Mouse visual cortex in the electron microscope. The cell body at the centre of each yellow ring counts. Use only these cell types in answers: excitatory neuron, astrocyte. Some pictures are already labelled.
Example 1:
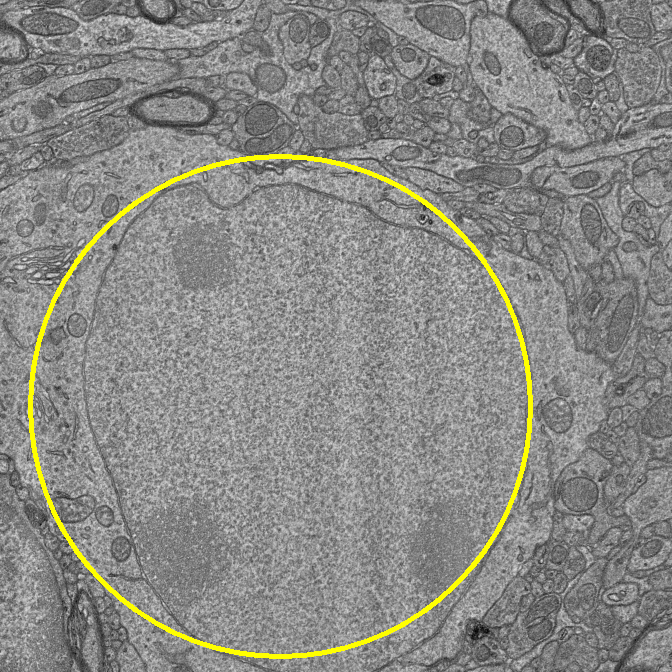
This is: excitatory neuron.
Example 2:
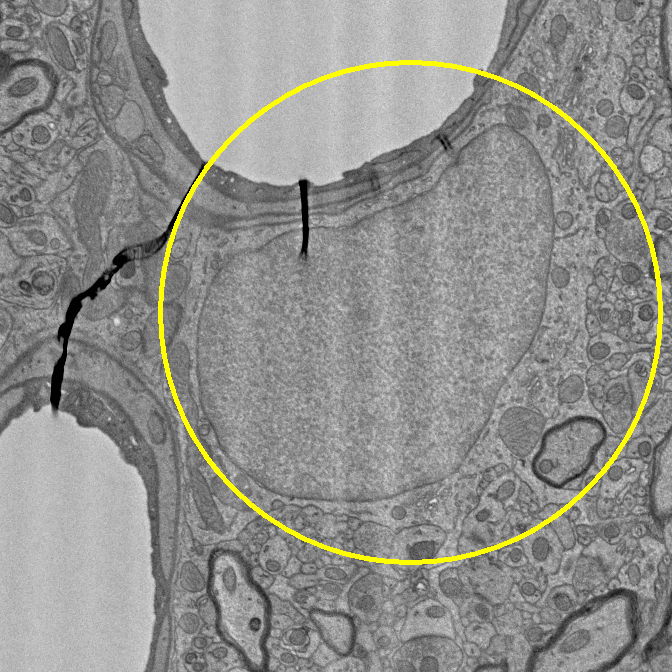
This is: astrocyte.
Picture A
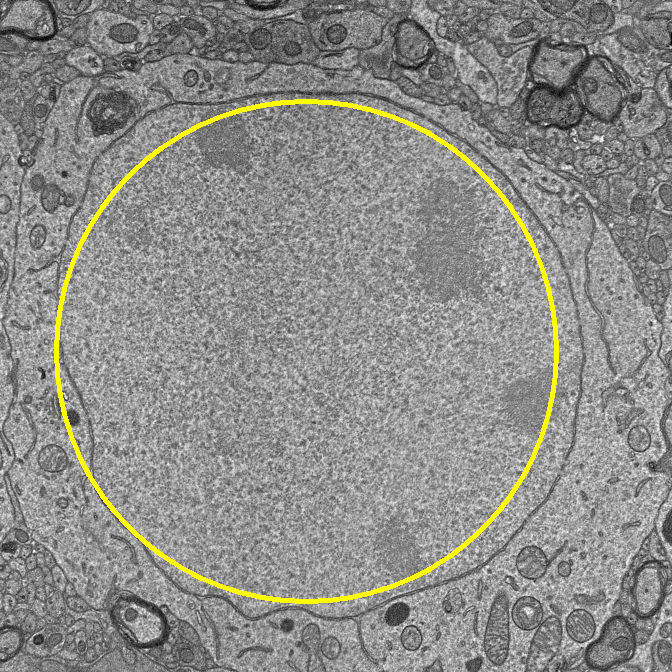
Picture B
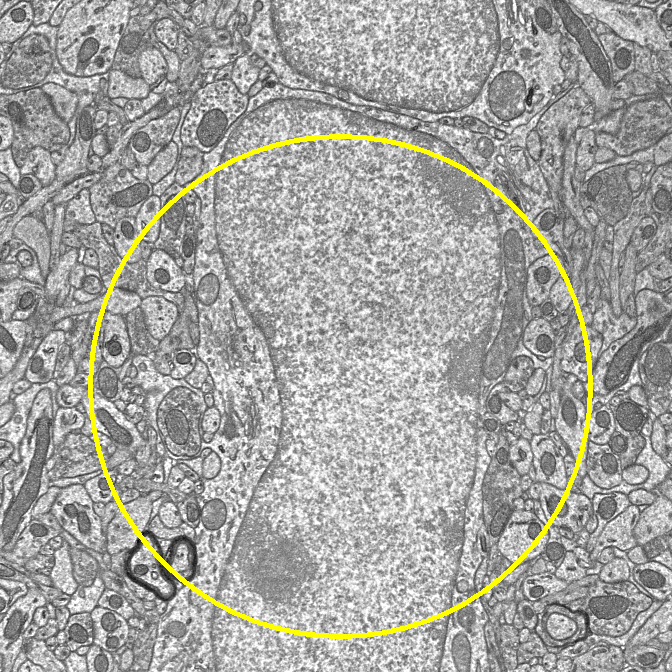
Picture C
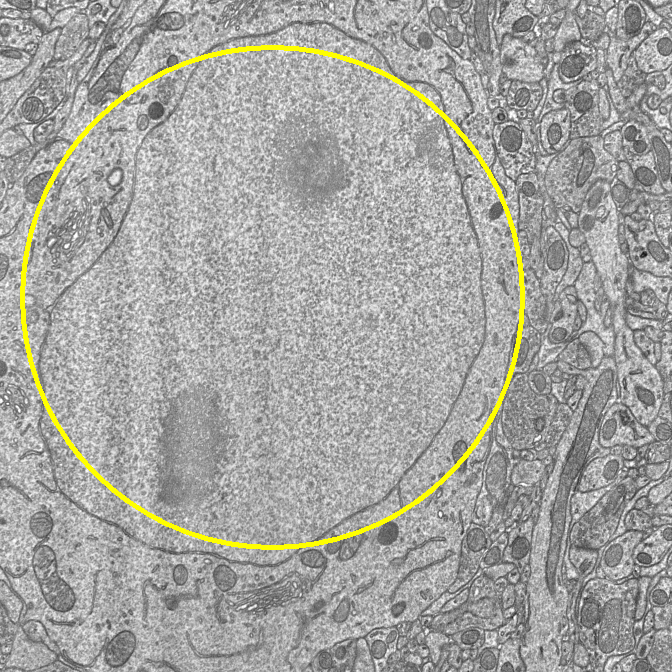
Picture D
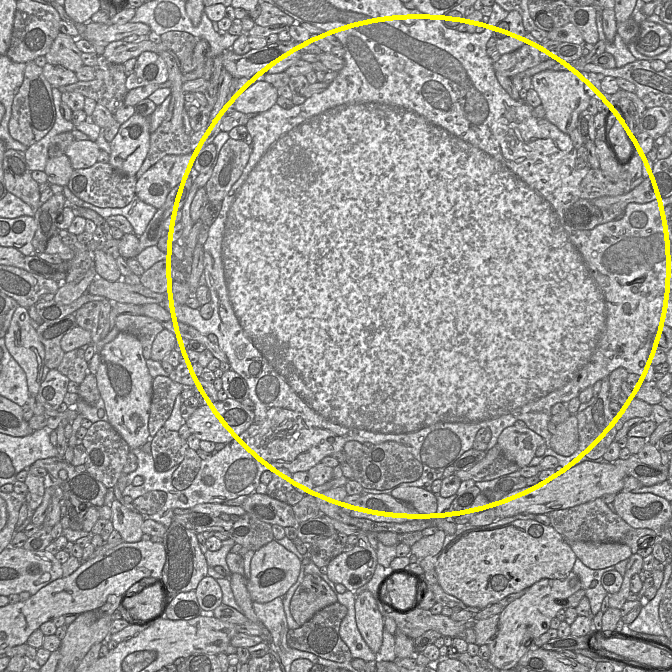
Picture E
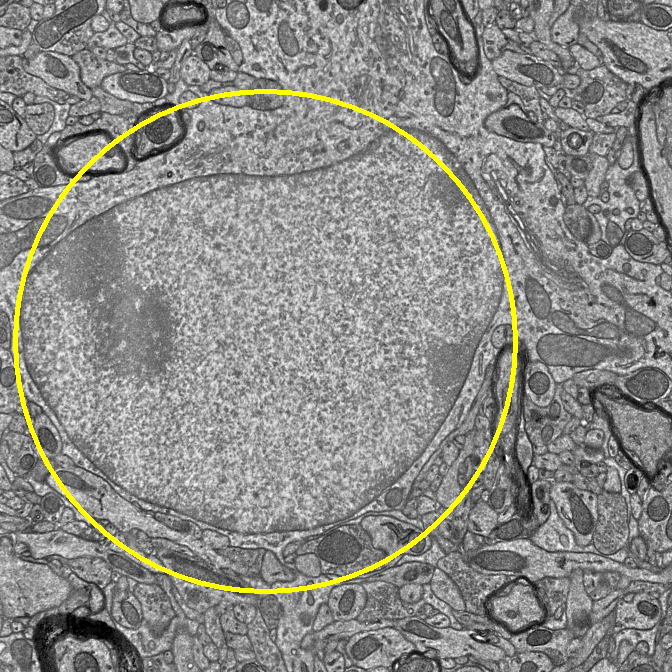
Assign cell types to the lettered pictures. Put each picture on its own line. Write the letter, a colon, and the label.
A: excitatory neuron.
B: astrocyte.
C: excitatory neuron.
D: astrocyte.
E: astrocyte.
